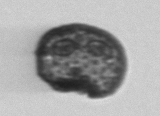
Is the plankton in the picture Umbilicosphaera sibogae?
Yes, it is Umbilicosphaera sibogae.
